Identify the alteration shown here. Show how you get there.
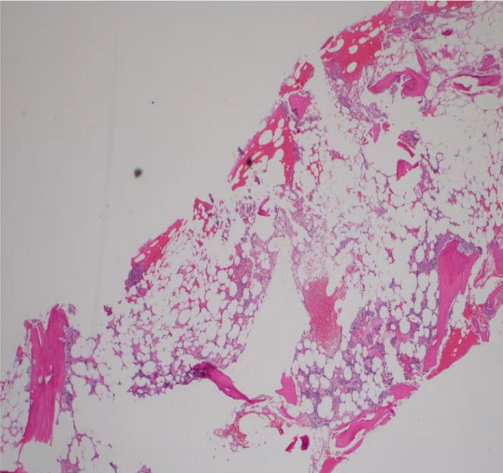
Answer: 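Fat spaces fill most of the intertrabecular space. Only thin strands and small clusters of purple hematopoietic cells lie between the fat spaces. Pink bone trabeculae border the marrow spaces.
Conclusion: hypocellular marrow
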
